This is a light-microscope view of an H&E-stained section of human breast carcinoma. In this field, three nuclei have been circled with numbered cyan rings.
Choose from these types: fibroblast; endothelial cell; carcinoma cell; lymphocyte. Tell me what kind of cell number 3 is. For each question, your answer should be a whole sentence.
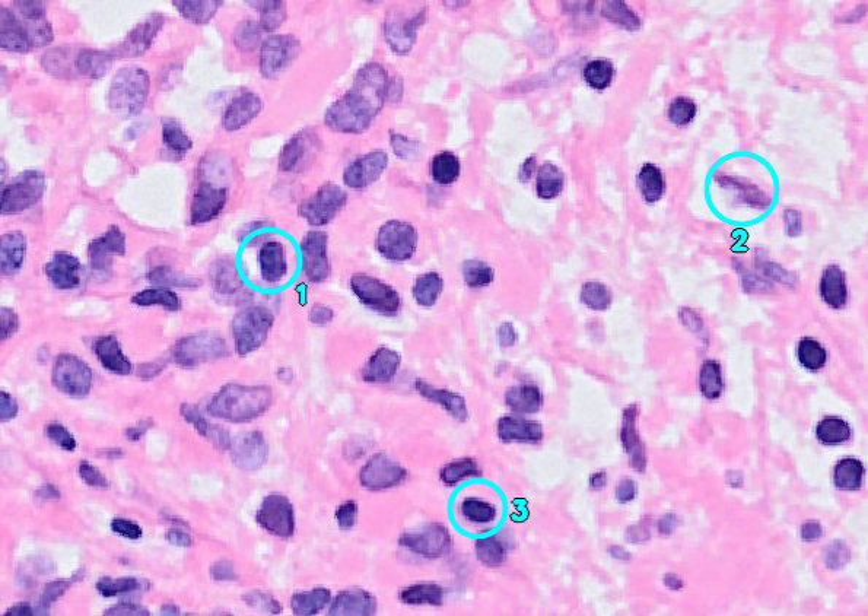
The nucleus marked 3 is the nucleus of a lymphocyte.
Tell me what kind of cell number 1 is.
Recognised here as a lymphocyte is the cell numbered 1.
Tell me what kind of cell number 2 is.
Cell 2 in the field is a fibroblast.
